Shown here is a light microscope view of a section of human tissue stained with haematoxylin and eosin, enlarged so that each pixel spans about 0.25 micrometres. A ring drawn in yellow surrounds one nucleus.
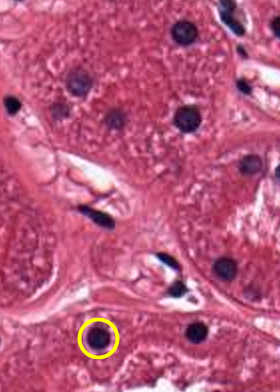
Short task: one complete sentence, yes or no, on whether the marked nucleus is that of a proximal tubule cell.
Yes, it is a proximal tubule cell that holds the marked nucleus.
